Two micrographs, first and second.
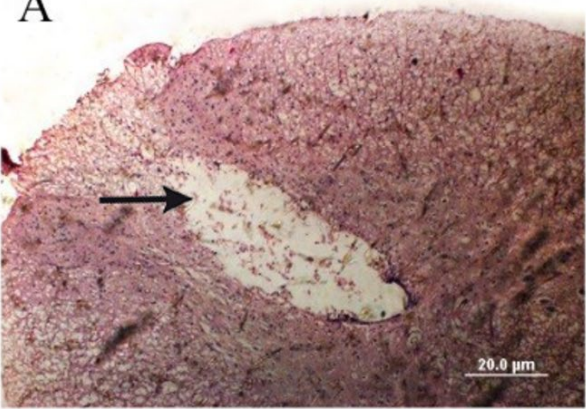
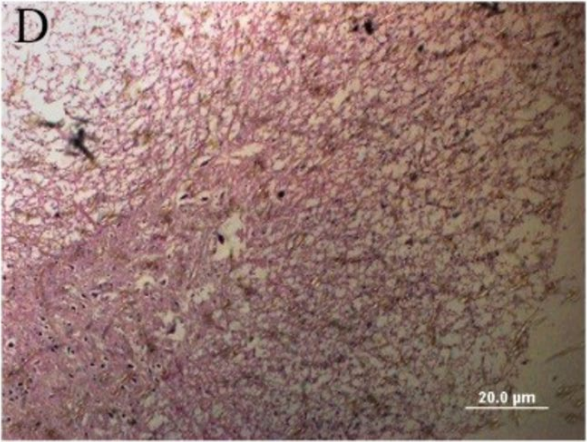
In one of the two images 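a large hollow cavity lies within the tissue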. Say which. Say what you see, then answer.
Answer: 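Second image: the pink meshlike tissue is continuous, with only small scattered gaps. First image: a large, elongated, mostly empty pale space interrupts the tissue. The answer: the first image.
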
